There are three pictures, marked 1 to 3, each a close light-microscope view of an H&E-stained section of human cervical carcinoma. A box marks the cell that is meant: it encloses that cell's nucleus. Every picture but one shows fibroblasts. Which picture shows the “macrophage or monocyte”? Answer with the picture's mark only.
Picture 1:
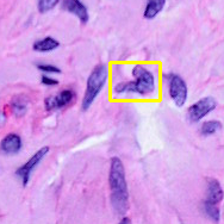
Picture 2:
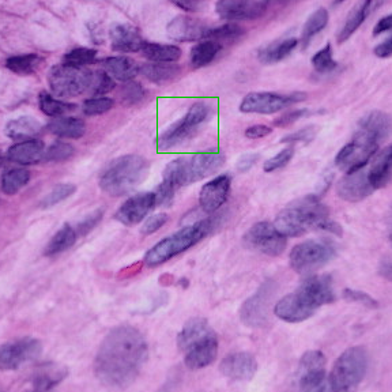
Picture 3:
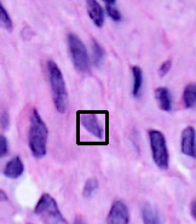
1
